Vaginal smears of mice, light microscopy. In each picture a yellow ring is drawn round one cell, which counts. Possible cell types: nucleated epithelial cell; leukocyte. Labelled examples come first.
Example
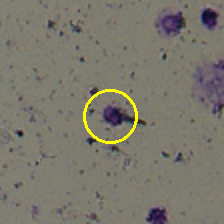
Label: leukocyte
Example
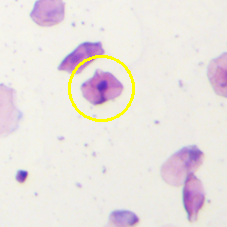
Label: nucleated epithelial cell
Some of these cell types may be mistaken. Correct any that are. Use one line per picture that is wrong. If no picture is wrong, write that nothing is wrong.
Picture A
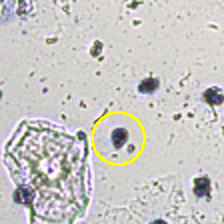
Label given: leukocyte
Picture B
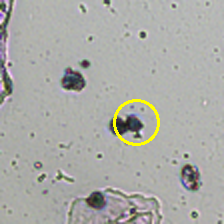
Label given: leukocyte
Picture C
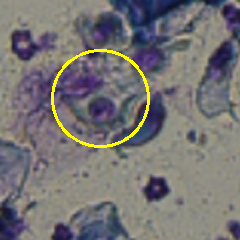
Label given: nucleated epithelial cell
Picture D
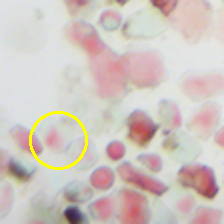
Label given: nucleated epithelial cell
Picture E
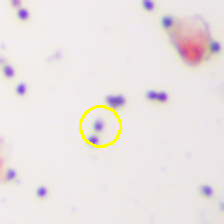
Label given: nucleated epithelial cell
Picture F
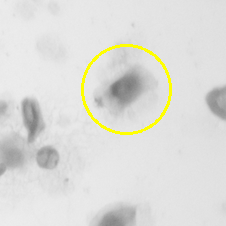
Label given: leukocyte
Wrong: E (nucleated epithelial cell); correct: leukocyte
Wrong: F (leukocyte); correct: nucleated epithelial cell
